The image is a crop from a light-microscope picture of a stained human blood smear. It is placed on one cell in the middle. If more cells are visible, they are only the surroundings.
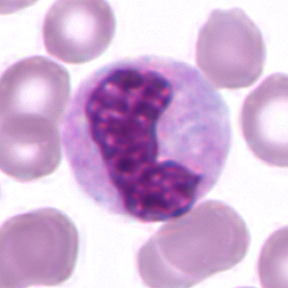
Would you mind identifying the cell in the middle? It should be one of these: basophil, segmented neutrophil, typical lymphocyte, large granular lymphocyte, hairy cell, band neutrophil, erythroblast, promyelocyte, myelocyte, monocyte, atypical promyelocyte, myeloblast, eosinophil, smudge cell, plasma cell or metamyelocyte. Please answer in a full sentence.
To answer, the cell in the center of the crop is a band neutrophil.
